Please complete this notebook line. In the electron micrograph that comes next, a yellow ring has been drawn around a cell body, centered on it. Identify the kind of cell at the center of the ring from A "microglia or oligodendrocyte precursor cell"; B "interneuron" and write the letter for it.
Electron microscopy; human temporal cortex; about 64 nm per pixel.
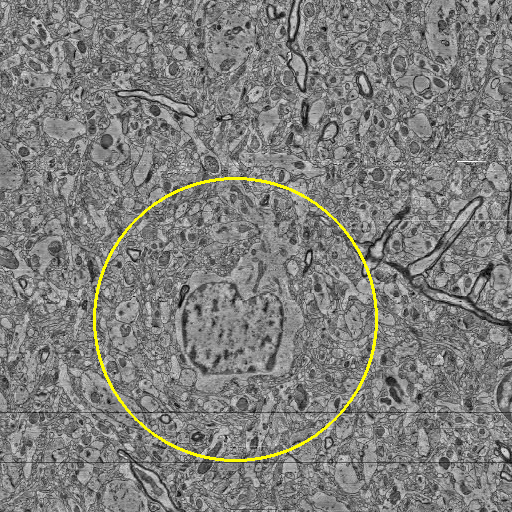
A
